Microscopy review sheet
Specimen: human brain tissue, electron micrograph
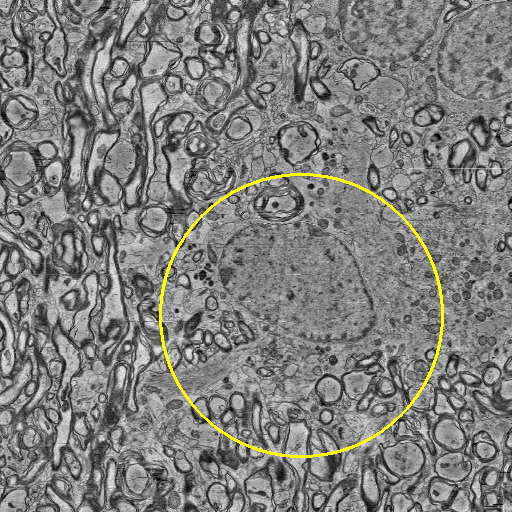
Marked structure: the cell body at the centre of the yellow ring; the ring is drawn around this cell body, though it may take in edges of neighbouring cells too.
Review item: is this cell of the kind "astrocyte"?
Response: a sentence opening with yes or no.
Yes, this cell is of that kind.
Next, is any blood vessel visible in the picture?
No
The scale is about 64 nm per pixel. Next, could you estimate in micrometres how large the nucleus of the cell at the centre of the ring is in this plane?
Clearly longer than it is wide in this plane, the nucleus measures roughly 11 by 7 micrometres.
